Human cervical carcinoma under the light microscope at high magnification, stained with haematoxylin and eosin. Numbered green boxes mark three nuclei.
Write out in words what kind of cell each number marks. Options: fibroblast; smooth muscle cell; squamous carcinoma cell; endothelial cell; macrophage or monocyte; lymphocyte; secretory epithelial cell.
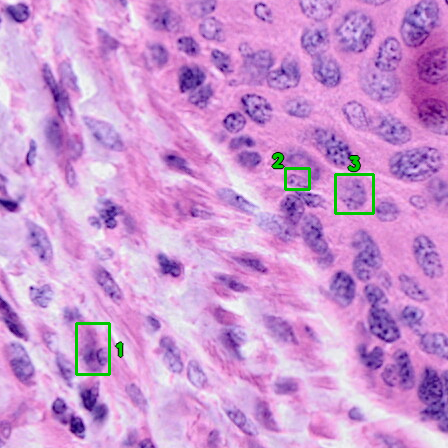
Cell 1 is a macrophage or monocyte, cell 2 is a squamous carcinoma cell and cell 3 is a squamous carcinoma cell.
